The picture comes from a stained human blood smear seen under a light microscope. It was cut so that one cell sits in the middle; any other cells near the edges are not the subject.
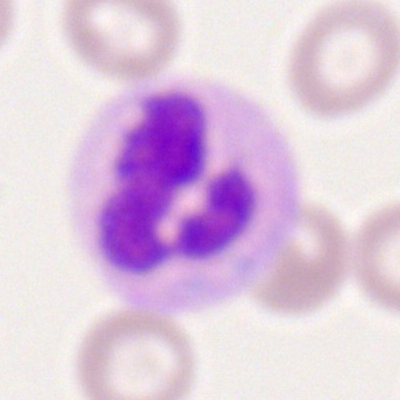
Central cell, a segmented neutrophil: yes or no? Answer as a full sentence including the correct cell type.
Yes, the cell in the middle has the identity of a segmented neutrophil.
